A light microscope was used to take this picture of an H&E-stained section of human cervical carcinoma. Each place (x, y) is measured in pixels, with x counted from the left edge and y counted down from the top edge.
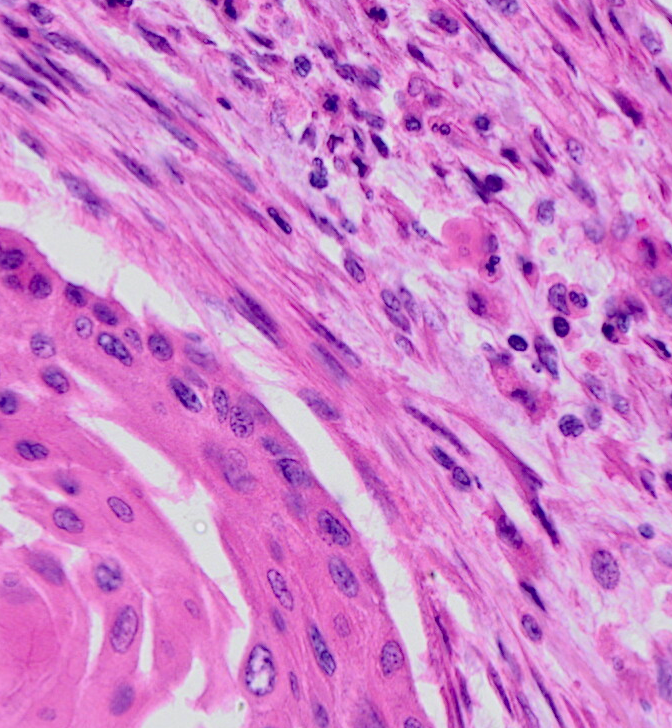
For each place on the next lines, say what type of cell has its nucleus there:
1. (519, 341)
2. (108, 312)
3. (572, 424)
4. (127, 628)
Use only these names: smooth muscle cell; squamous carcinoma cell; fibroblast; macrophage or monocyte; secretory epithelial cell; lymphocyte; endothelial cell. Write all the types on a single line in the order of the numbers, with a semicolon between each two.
lymphocyte; squamous carcinoma cell; lymphocyte; squamous carcinoma cell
